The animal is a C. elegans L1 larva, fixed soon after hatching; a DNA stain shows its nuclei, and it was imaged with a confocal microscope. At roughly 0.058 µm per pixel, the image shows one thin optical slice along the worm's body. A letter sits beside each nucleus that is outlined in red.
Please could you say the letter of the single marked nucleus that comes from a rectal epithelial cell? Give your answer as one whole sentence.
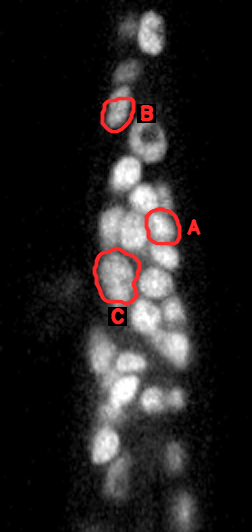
Nucleus C belongs to a rectal epithelial cell.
